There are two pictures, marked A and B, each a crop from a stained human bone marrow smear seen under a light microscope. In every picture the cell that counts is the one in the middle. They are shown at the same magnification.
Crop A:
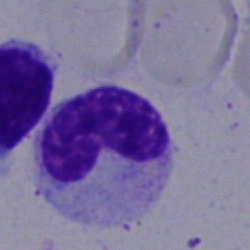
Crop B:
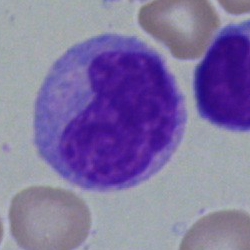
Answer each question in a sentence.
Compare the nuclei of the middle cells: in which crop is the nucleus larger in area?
It is the nucleus in crop B, about 1.5 times as large in area as the one in crop A.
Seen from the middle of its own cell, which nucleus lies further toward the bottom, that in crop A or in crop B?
The nucleus in crop B lies further toward the bottom of its cell.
